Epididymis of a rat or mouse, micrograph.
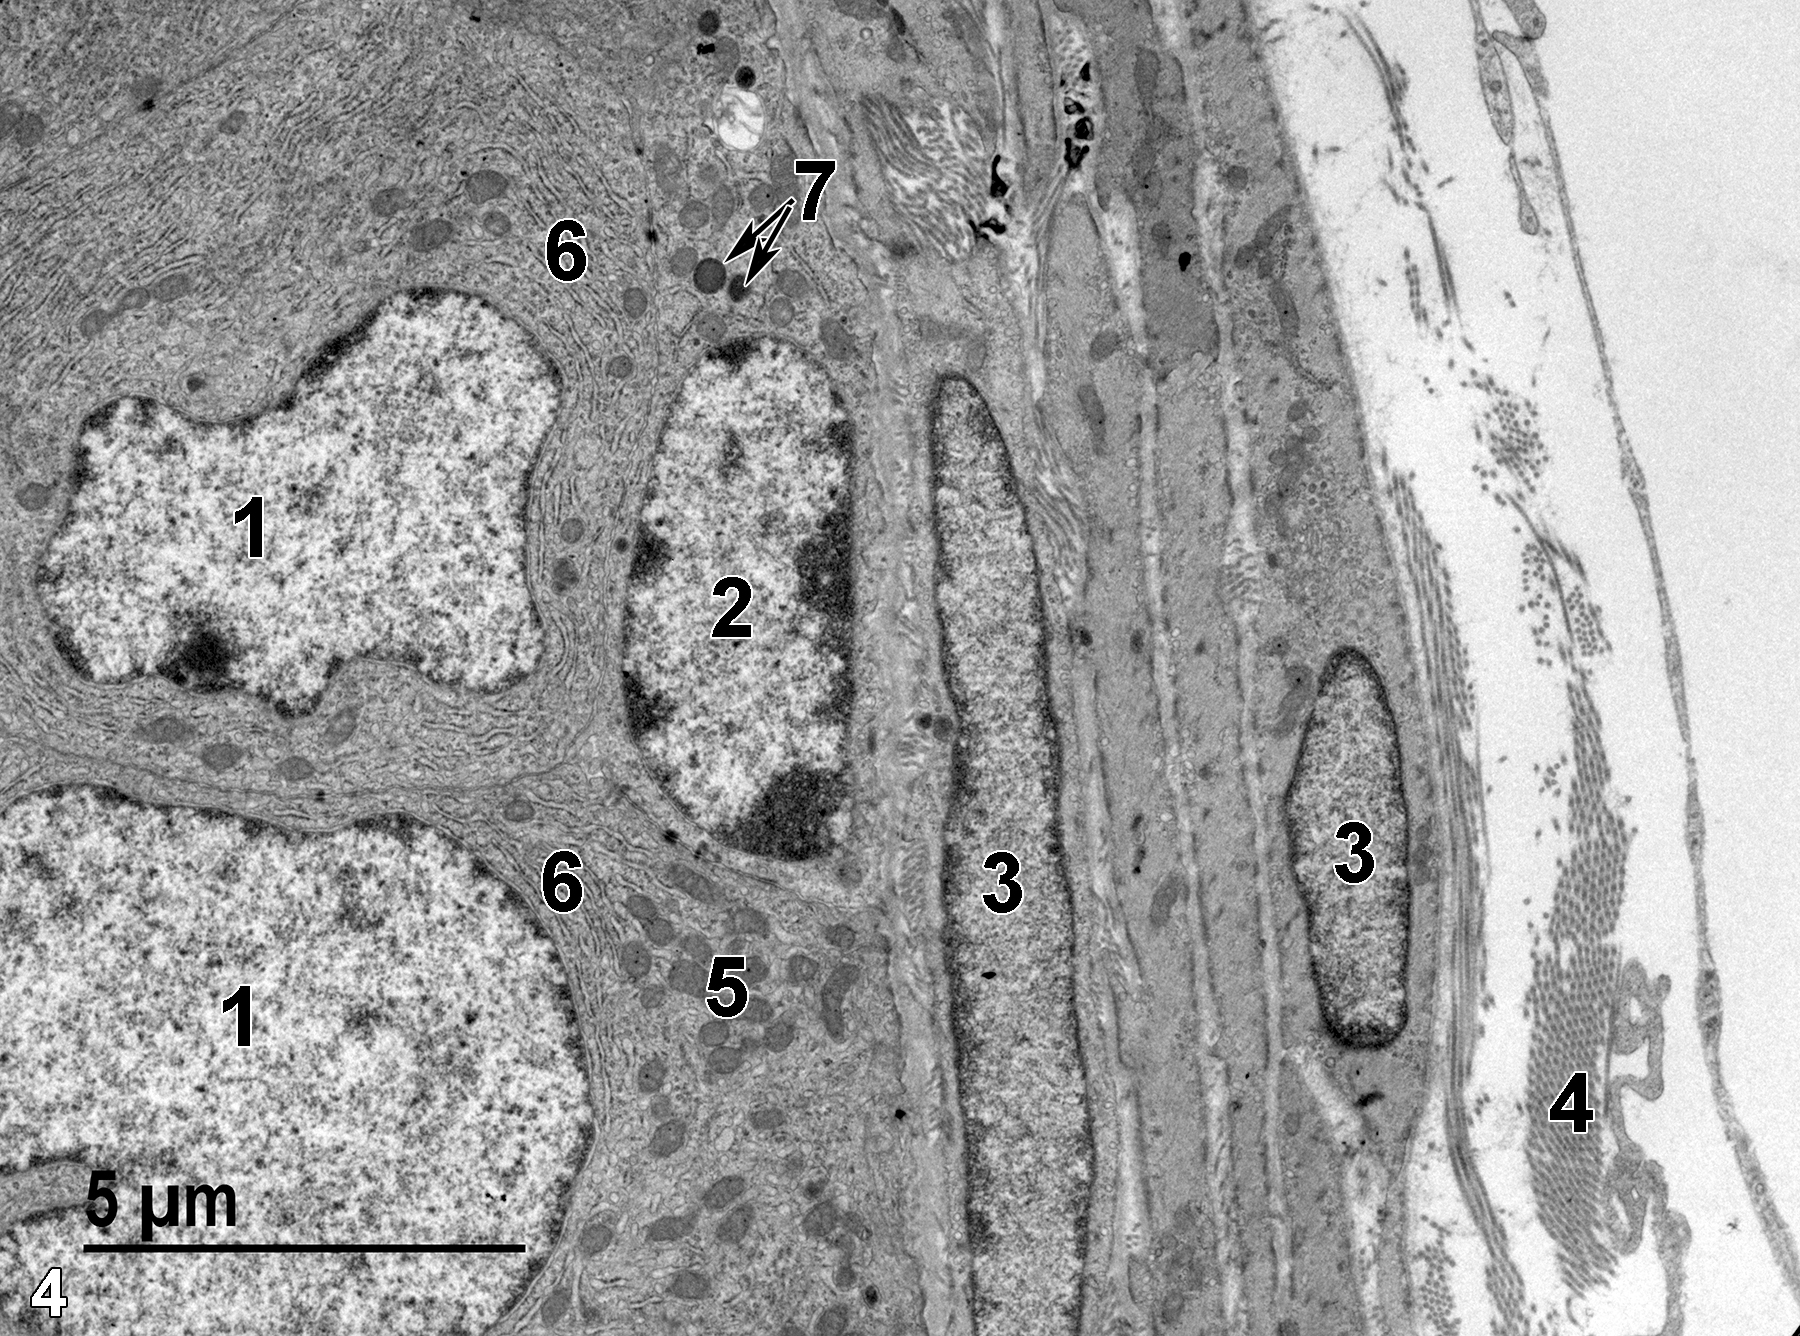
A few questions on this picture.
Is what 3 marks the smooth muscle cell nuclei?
Yes, 3 marks the smooth muscle cell nuclei.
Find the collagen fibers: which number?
4.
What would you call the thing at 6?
6 marks the rough endoplasmic reticulum.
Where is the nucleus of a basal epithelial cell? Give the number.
Number 2.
